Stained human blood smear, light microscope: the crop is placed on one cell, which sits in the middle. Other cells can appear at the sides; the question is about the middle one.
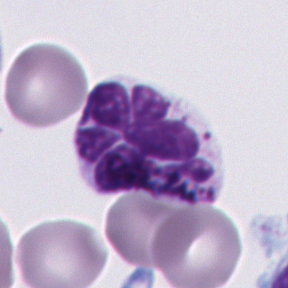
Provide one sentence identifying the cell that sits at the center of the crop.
By classification, the middle cell of this crop is a basophil.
